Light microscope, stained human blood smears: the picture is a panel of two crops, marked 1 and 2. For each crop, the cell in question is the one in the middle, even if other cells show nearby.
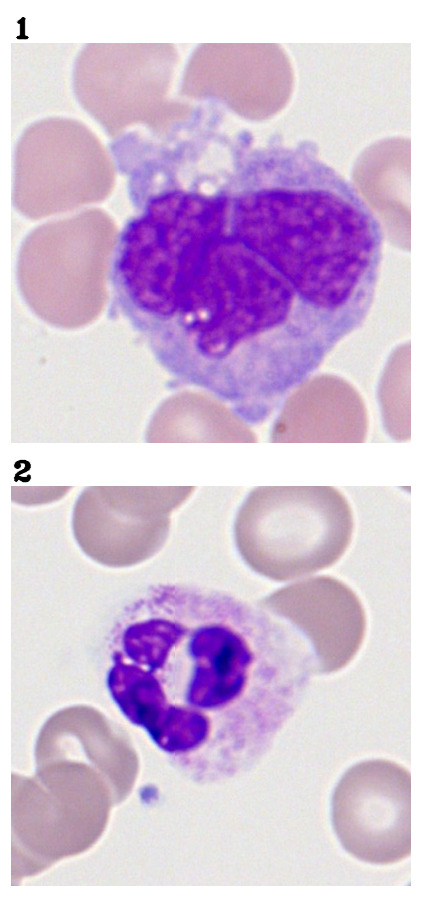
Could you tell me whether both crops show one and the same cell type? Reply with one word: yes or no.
no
